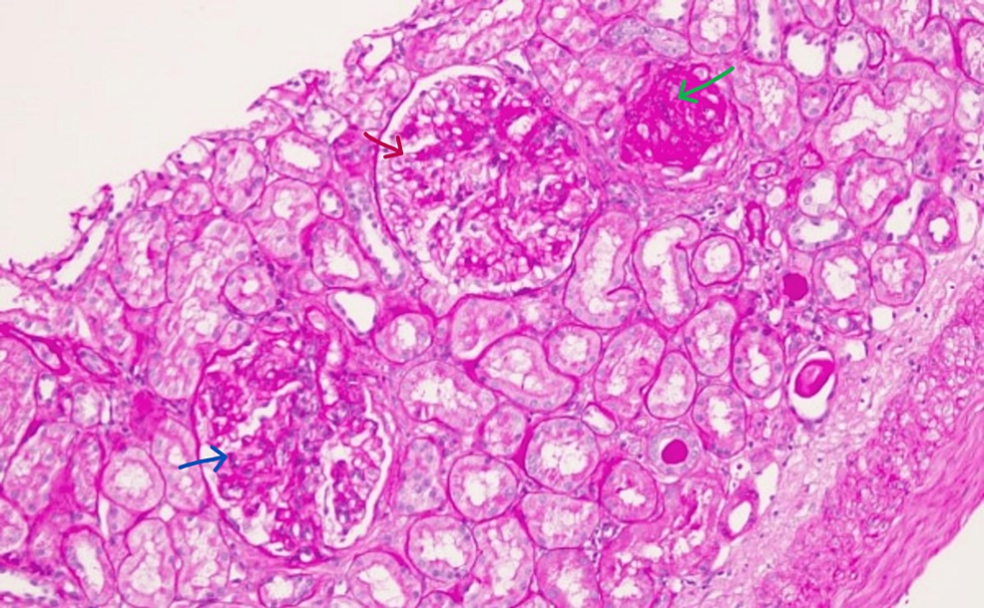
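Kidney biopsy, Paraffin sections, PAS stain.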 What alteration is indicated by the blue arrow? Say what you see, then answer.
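Lobular tuft. The arrowed glomerulus has a tuft divided into separate lobules by clear spaces. The tuft is crowded with nuclei and magenta matrix.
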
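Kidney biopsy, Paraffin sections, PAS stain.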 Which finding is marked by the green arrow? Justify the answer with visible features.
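The arrowed round structure is small and densely magenta throughout. No open capillary loops or distinct cellular detail remain within it. It is surrounded by tubules like the other glomeruli. On this evidence: globally sclerosed.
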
